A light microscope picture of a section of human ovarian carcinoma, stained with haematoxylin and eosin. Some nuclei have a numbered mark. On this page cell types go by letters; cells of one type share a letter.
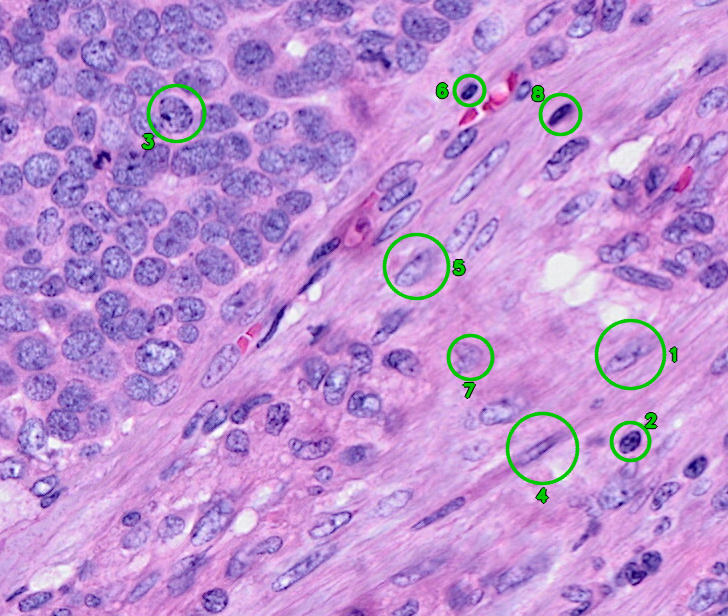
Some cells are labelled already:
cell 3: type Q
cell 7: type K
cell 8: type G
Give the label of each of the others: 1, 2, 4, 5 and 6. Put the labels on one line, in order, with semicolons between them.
type K; type G; type K; type K; type G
